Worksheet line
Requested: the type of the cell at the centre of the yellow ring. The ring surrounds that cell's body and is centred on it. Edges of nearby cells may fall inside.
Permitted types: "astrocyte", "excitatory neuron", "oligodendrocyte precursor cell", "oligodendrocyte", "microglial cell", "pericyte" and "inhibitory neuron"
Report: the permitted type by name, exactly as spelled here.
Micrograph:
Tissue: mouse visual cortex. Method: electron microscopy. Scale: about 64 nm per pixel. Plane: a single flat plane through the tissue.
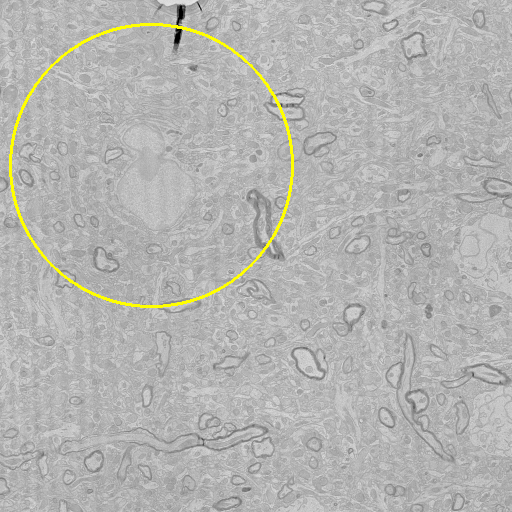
oligodendrocyte precursor cell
